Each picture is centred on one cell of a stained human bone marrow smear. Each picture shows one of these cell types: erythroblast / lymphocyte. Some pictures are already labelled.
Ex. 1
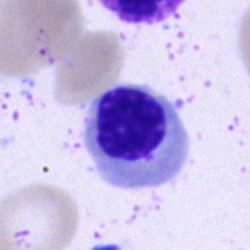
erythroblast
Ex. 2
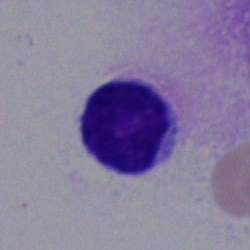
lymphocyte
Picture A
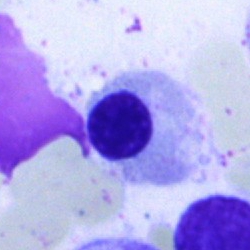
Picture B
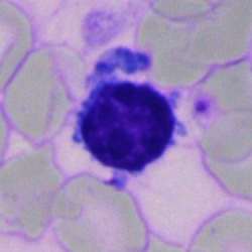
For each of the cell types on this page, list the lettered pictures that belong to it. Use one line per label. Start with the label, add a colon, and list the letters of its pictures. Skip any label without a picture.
erythroblast: A
lymphocyte: B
